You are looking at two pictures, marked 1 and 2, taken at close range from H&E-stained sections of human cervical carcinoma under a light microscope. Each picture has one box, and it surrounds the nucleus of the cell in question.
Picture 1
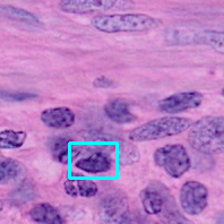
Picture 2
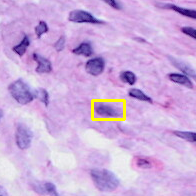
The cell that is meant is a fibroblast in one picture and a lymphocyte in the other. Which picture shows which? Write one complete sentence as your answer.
The cell in picture 1 is a lymphocyte, and the one in picture 2 is a fibroblast.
